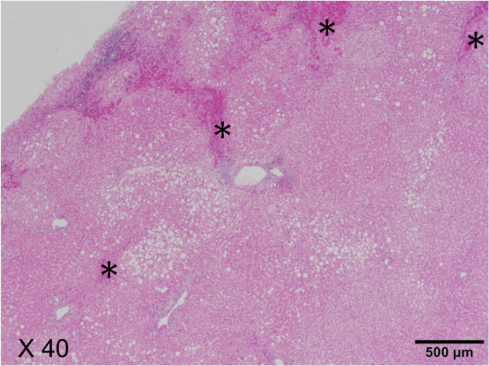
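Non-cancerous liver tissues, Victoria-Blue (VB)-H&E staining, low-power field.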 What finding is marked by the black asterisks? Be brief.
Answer: Sinusoidal congestion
